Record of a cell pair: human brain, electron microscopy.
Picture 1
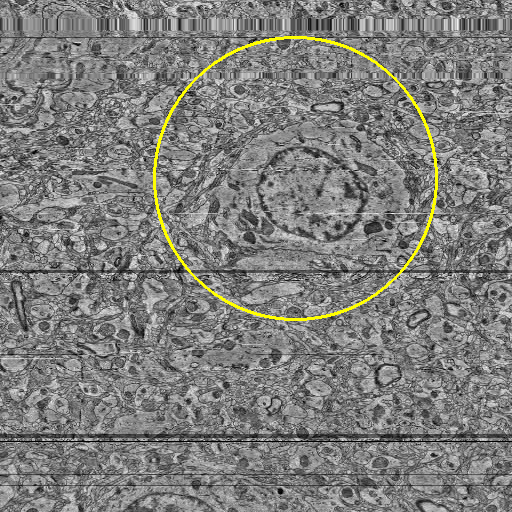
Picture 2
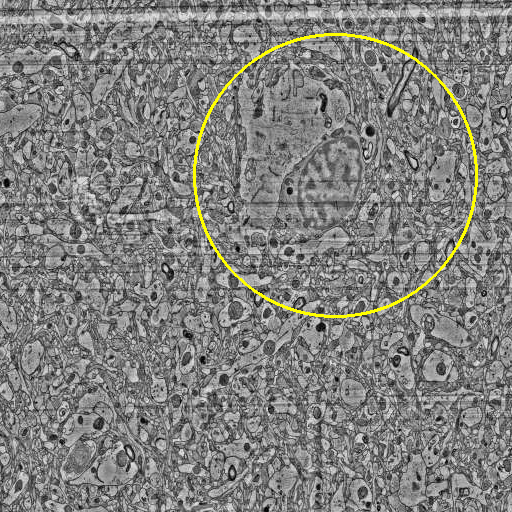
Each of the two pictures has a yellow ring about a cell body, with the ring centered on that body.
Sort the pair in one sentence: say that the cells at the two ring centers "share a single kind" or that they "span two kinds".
The cells centered in the rings of Pictures 1 and 2 span two kinds.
